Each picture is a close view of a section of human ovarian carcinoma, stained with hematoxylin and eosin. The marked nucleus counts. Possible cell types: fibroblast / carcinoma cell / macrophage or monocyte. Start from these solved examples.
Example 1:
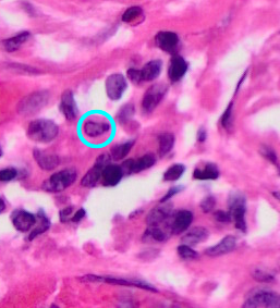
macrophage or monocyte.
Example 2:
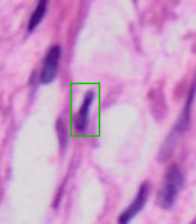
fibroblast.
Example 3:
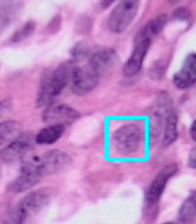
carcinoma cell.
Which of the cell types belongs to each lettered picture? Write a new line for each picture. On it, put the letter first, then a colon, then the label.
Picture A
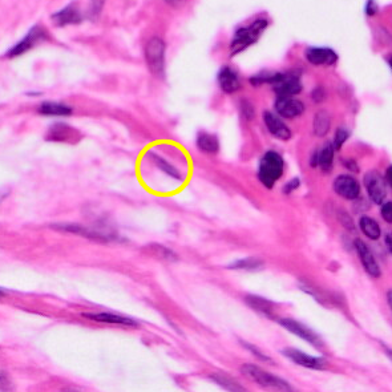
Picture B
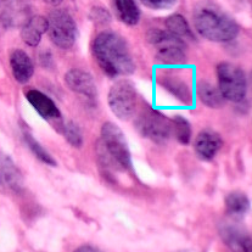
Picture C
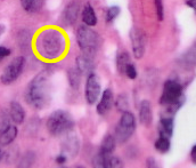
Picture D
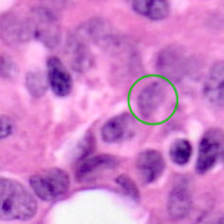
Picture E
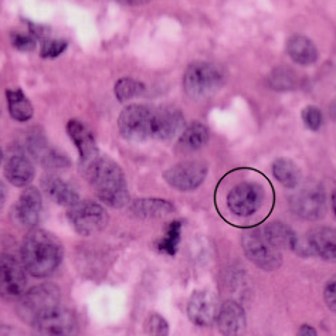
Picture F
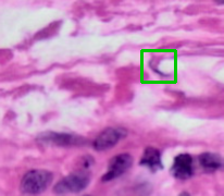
A: fibroblast.
B: carcinoma cell.
C: carcinoma cell.
D: carcinoma cell.
E: macrophage or monocyte.
F: fibroblast.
